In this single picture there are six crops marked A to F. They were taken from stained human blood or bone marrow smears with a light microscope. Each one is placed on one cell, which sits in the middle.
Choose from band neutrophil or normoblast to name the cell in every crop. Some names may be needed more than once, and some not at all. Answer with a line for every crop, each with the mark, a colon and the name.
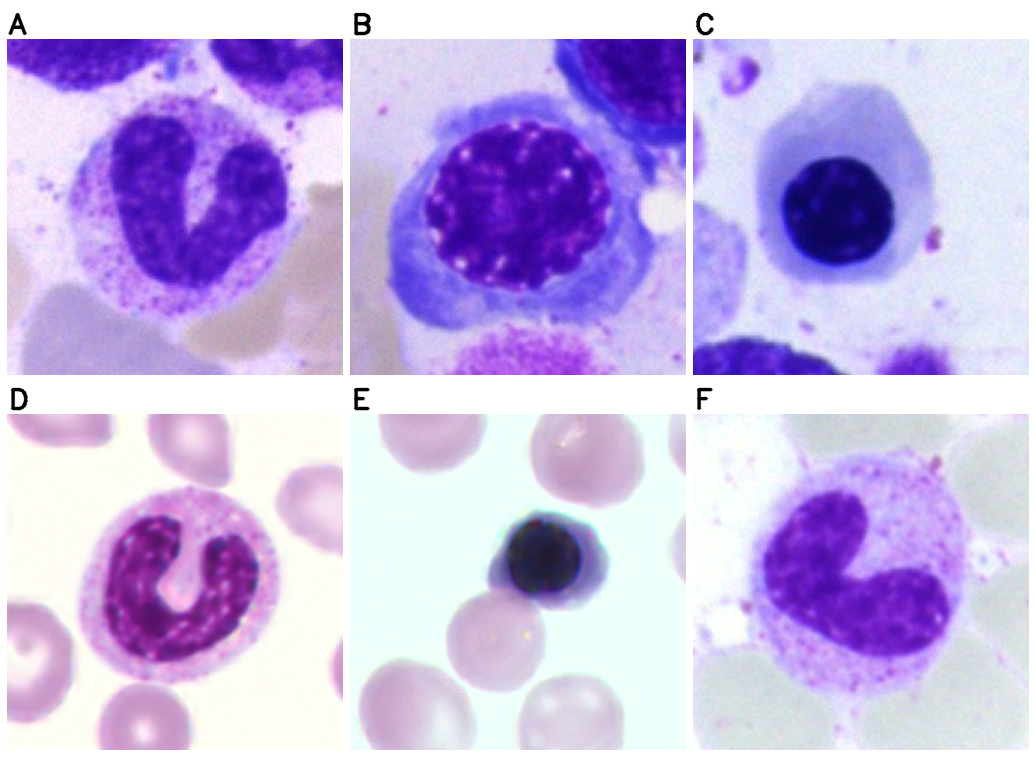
A: band neutrophil
B: normoblast
C: normoblast
D: band neutrophil
E: normoblast
F: band neutrophil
